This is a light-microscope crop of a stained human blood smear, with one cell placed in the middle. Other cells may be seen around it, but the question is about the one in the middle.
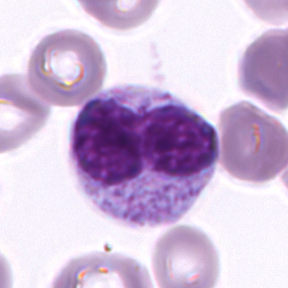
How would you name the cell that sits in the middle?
band neutrophil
